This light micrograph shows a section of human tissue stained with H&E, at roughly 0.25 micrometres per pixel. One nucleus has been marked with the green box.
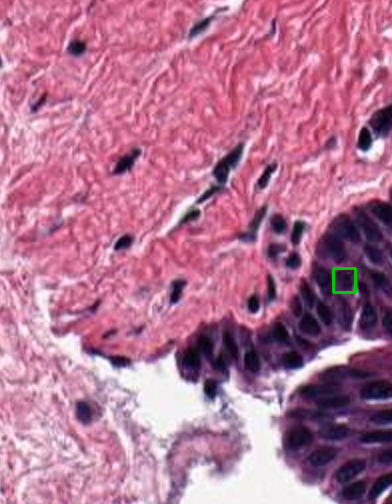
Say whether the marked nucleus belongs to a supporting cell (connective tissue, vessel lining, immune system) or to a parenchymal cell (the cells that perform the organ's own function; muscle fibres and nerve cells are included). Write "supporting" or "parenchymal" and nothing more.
parenchymal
